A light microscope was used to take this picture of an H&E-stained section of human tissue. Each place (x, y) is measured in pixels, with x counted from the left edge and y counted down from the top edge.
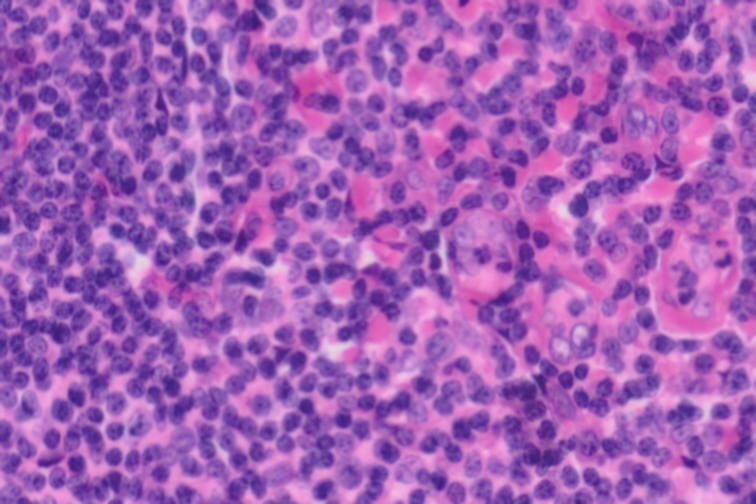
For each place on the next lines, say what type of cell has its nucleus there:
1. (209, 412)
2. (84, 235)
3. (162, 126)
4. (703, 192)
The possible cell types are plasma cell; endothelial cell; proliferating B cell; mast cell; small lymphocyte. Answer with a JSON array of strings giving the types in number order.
["small lymphocyte", "small lymphocyte", "small lymphocyte", "plasma cell"]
